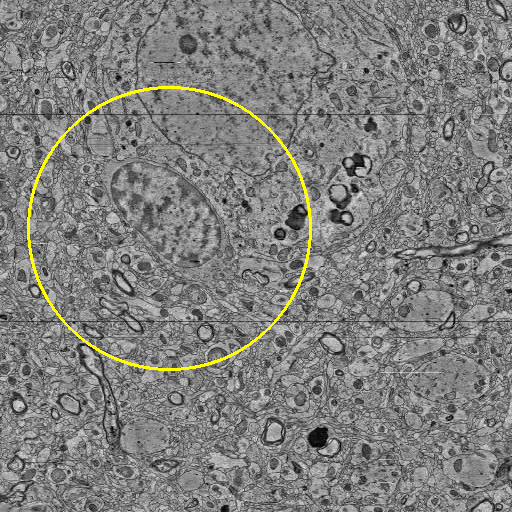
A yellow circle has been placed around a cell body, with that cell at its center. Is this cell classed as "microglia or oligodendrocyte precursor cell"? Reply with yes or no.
No, it belongs to another class.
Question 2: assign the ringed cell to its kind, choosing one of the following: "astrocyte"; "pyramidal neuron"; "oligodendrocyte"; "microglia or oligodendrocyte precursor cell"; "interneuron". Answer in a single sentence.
The cell in question here is an oligodendrocyte.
